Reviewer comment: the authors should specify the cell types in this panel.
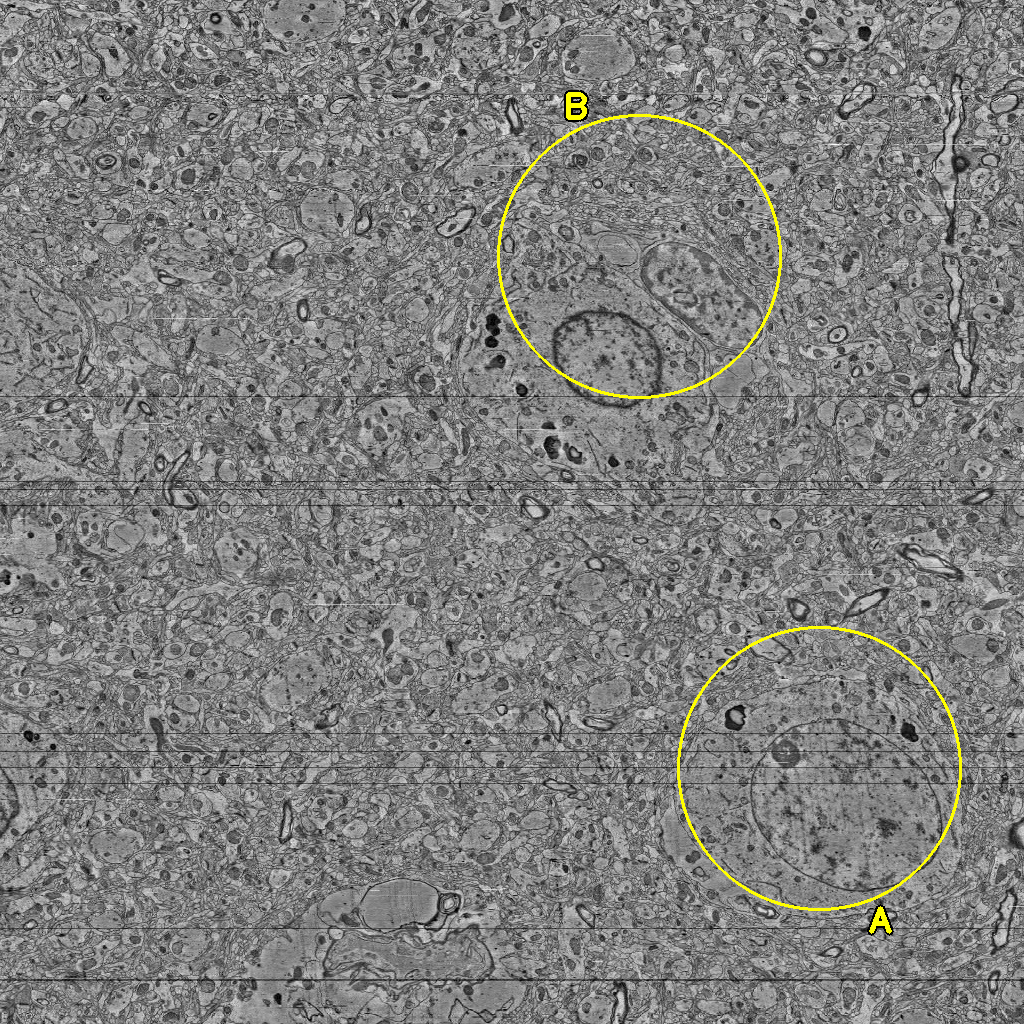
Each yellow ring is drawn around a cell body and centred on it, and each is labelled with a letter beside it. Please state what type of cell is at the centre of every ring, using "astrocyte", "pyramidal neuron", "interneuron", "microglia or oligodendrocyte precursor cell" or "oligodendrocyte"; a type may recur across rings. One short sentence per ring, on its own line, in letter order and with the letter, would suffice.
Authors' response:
The cell centred within ring A is a pyramidal neuron.
The cell centred within ring B is a microglial cell or oligodendrocyte precursor cell.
